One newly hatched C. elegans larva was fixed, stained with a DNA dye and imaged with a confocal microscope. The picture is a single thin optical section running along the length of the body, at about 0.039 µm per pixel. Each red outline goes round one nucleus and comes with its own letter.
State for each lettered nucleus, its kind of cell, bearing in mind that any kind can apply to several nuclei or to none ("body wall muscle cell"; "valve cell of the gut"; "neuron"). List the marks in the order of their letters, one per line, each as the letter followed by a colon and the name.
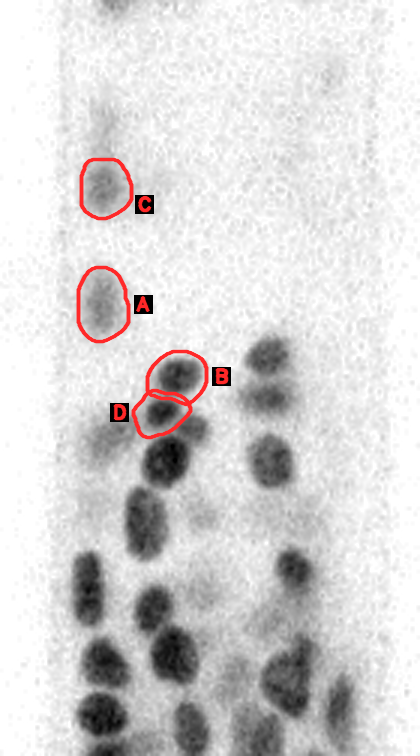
A: neuron
B: valve cell of the gut
C: neuron
D: valve cell of the gut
